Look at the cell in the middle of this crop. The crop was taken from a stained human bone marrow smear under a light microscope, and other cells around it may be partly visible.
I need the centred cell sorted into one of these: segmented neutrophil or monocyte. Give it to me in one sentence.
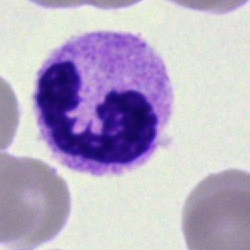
Regarding the central cell, it is a segmented neutrophil.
